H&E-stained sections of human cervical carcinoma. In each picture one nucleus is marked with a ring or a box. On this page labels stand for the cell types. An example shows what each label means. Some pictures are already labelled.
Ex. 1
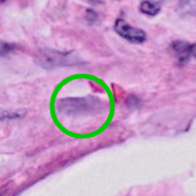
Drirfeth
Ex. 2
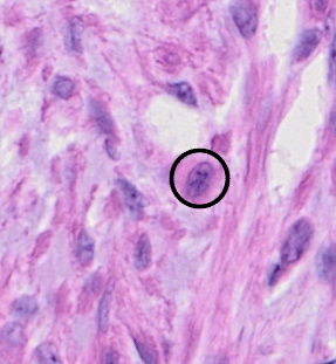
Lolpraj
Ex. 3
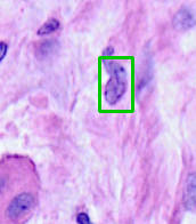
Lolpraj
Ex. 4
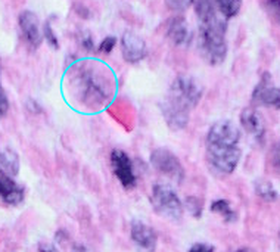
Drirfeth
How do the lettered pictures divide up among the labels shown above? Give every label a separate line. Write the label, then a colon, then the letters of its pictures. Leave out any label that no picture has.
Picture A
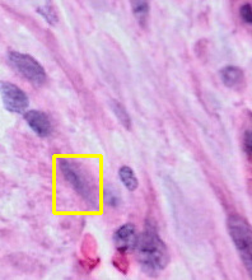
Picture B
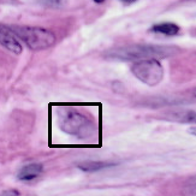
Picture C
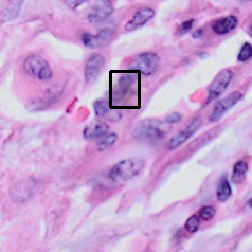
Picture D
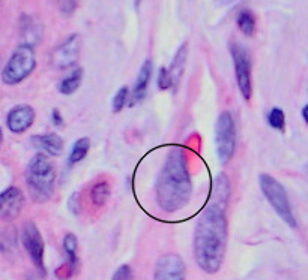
Drirfeth: A, C, D
Lolpraj: B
